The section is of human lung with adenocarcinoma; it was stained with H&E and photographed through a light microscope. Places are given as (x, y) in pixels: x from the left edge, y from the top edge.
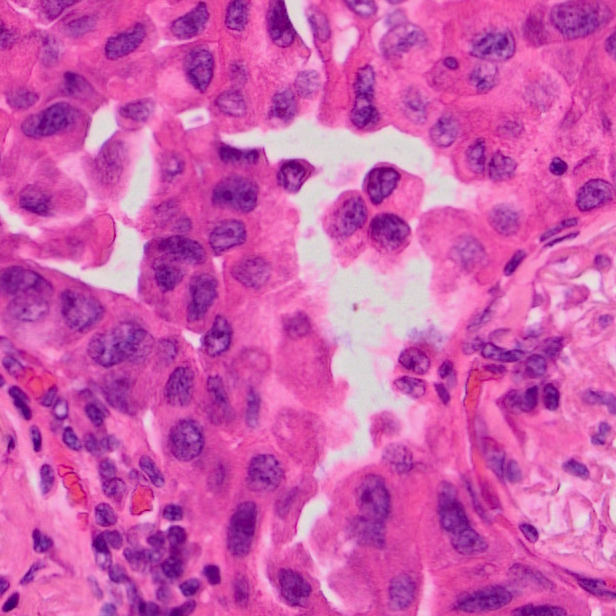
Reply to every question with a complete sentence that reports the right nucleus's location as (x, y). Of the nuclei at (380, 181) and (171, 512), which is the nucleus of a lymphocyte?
It is at (171, 512) that the nucleus of a lymphocyte is found.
